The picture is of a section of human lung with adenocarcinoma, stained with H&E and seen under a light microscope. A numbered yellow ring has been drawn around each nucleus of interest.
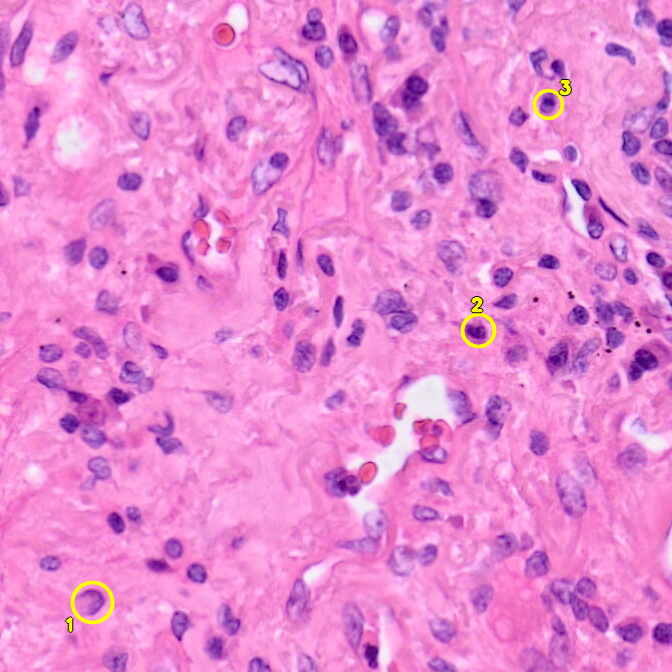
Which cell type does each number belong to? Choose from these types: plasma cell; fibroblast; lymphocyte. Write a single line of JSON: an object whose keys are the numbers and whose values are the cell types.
{"1": "fibroblast", "2": "plasma cell", "3": "lymphocyte"}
